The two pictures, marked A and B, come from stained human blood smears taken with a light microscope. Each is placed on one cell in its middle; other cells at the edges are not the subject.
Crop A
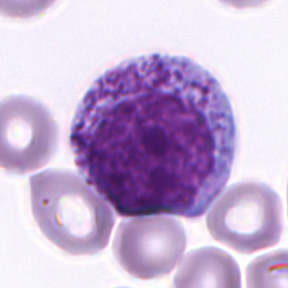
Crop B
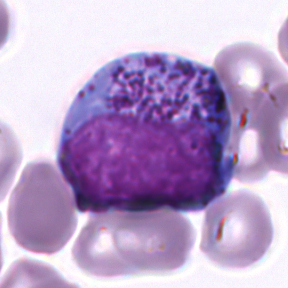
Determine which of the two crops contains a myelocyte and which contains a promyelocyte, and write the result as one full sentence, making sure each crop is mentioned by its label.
Within crop A sits a myelocyte, and within crop B sits a promyelocyte.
